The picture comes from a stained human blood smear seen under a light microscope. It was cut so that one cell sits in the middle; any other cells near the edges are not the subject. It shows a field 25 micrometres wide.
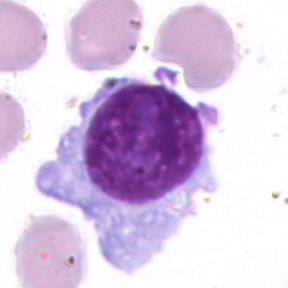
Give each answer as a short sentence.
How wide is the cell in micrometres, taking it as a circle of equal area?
Taken as a circle, the cell has a diameter of about 15 micrometres.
